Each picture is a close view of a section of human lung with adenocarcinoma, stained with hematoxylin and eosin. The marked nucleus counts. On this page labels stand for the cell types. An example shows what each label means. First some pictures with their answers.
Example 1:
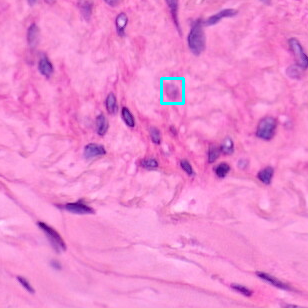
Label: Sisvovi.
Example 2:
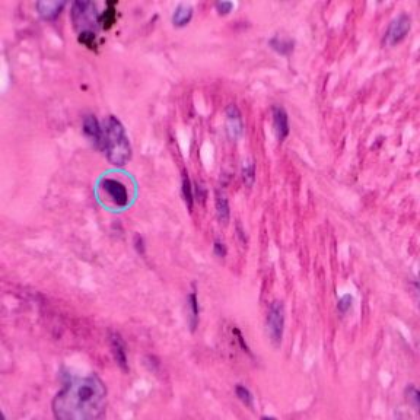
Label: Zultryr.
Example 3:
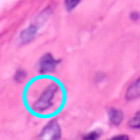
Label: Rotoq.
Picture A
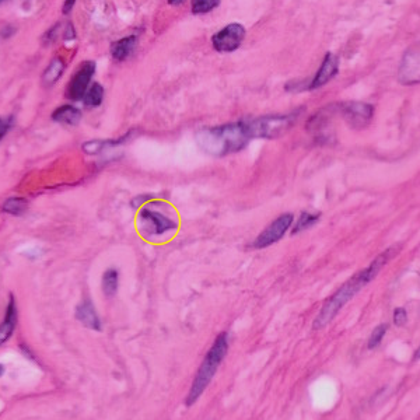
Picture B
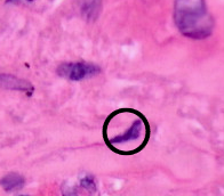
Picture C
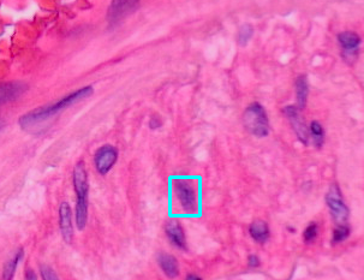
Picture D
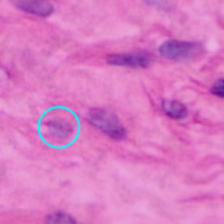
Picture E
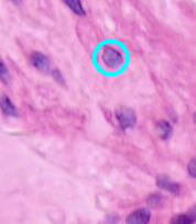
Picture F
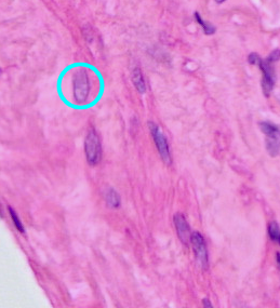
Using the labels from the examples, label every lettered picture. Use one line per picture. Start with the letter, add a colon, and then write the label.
A: Rotoq.
B: Rotoq.
C: Sisvovi.
D: Sisvovi.
E: Sisvovi.
F: Sisvovi.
